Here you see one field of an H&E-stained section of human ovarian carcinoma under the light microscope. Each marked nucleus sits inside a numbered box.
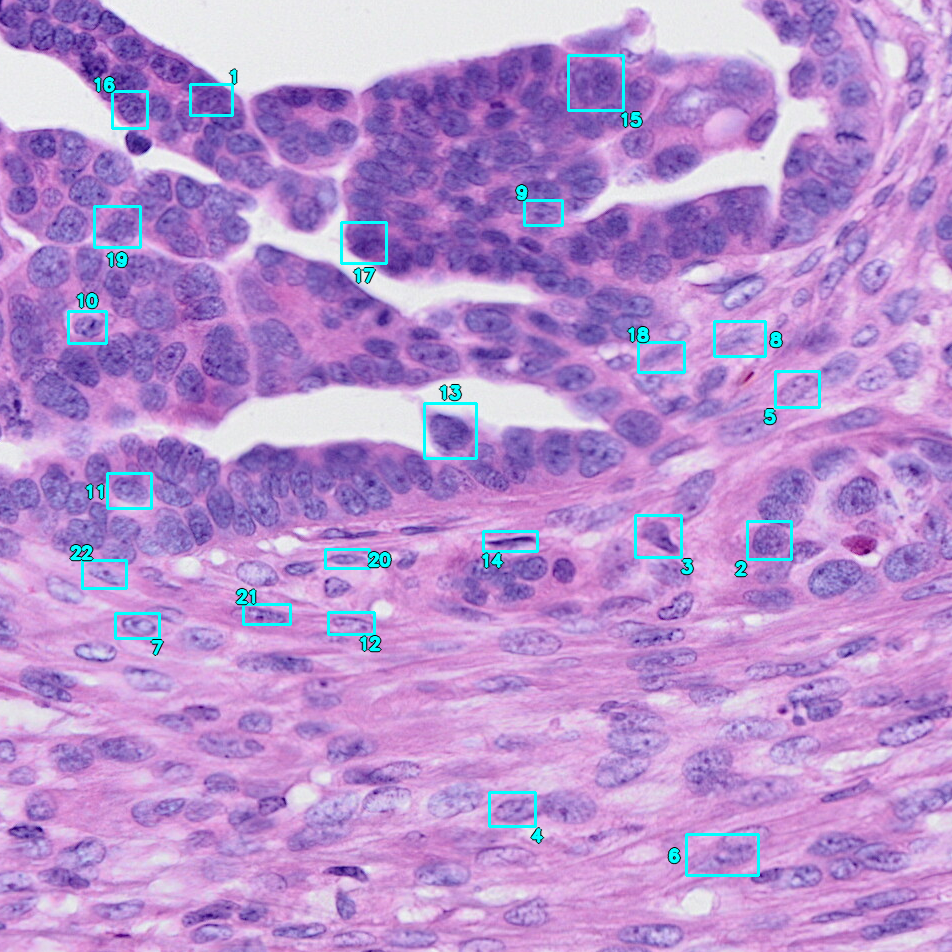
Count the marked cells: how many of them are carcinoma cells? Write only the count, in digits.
9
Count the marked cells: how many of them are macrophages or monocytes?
2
